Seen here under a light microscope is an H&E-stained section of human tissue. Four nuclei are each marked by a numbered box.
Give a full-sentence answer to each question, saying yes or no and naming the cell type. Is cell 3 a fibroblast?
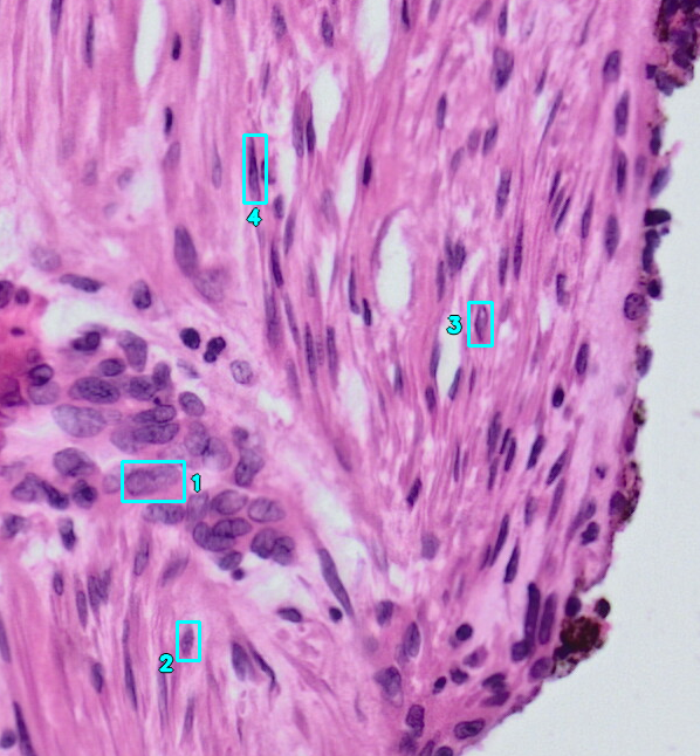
Yes, it is a fibroblast that number 3 identifies.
